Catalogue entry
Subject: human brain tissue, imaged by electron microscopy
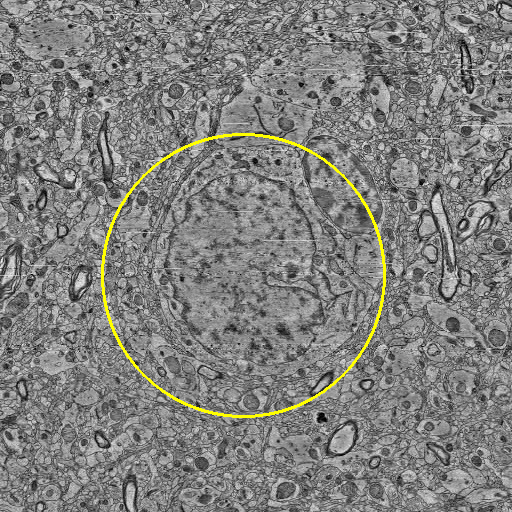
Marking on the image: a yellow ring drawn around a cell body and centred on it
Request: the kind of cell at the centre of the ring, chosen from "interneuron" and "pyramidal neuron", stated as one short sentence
The ring has an interneuron at its centre.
